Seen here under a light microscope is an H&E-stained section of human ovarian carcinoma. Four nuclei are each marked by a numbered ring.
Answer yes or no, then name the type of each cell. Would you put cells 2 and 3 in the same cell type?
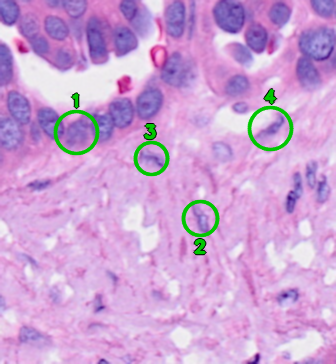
Yes, the cell marked 2 and the cell marked 3 are both fibroblasts.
